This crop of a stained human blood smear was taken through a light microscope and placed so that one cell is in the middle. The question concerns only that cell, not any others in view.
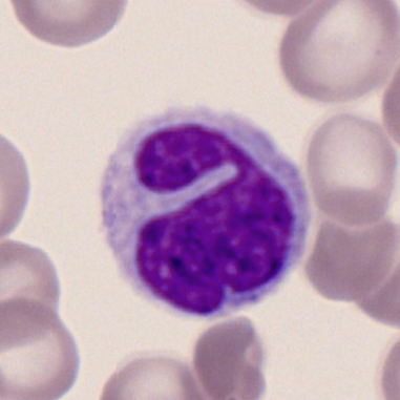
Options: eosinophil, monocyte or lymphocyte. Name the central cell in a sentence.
The centrally located cell in the crop is a monocyte.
